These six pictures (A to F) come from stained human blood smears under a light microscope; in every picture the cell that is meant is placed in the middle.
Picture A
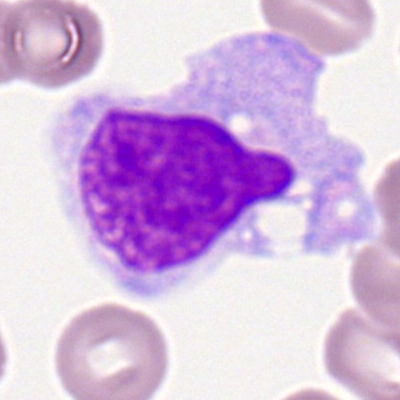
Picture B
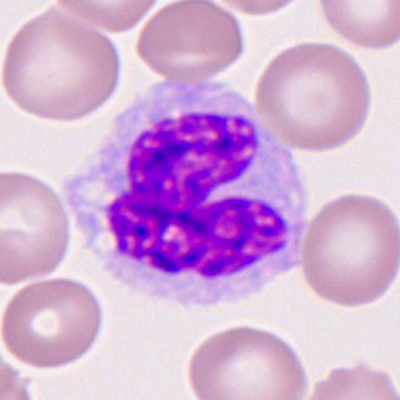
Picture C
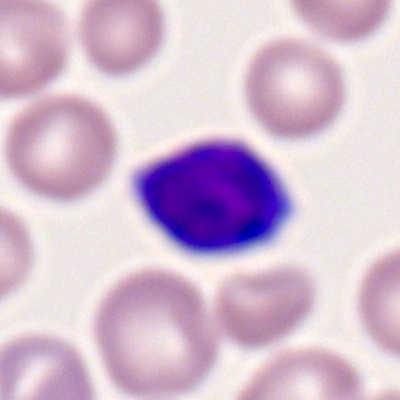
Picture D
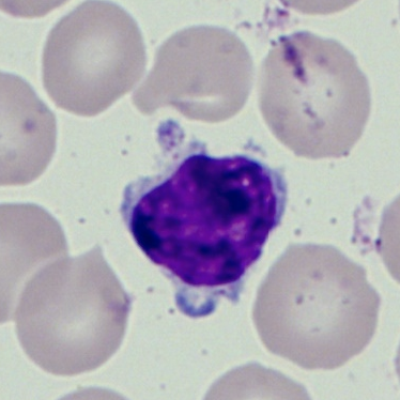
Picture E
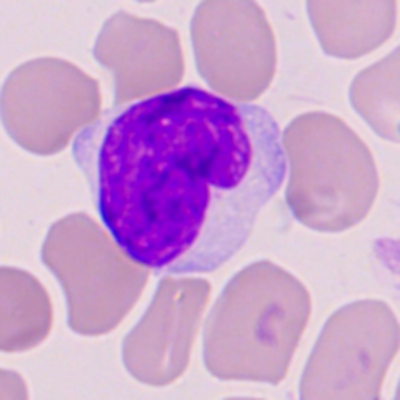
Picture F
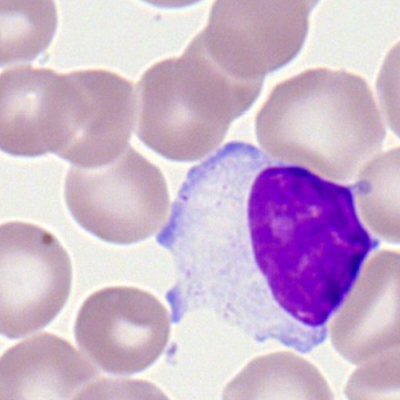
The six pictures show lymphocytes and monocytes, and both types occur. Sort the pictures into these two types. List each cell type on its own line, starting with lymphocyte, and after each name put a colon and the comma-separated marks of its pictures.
lymphocyte: C, D, E, F
monocyte: A, B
